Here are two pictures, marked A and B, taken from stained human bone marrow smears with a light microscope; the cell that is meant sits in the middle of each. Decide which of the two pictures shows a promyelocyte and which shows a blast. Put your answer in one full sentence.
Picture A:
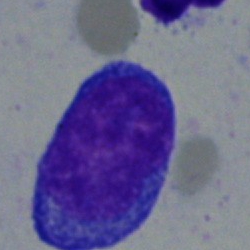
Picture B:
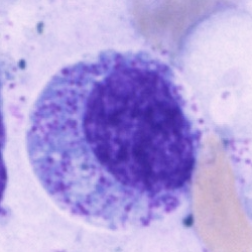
Picture A shows a blast and picture B shows a promyelocyte.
